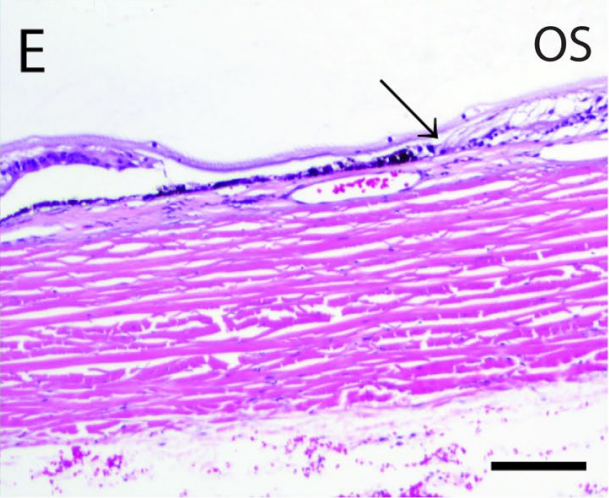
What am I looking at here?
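A thin, wavy strip of retina lies on top, much thinner than normal and with few distinct cell layers. Beneath it a discontinuous line of dark pigment marks where the pigmented epithelium is present in places and missing in others, and at one spot the retina lies directly against the underlying membrane. Below this a thin choroid with a few blood vessels rests on thick, pink, parallel collagen bundles of the sclera. This shows multifocal loss of the retinal pigment epithelium, retina adherent to Bruch's membrane and a thin, atrophic choroid.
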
